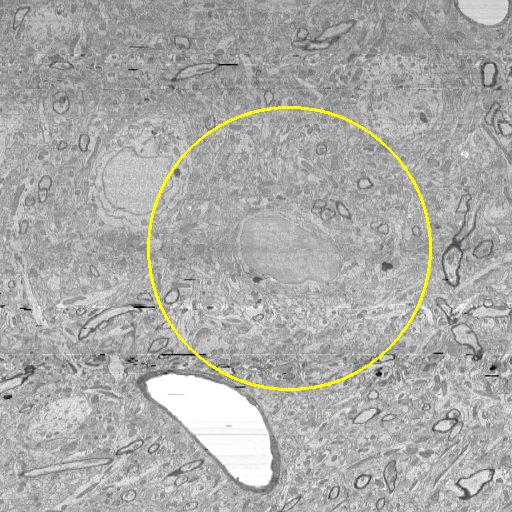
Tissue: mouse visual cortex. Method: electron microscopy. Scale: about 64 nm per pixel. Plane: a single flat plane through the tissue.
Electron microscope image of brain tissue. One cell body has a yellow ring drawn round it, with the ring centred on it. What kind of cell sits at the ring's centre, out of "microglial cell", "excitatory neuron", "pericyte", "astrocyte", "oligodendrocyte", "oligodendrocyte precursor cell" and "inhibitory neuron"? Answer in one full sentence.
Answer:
It is a microglial cell whose cell body sits at the centre of the yellow ring.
